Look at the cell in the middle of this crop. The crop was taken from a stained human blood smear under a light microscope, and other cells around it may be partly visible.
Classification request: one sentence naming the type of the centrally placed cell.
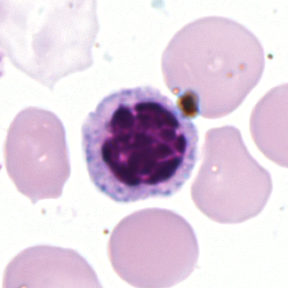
For this crop, the central cell is a normoblast.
